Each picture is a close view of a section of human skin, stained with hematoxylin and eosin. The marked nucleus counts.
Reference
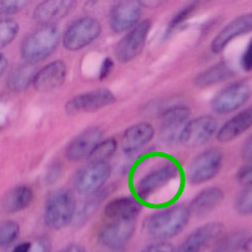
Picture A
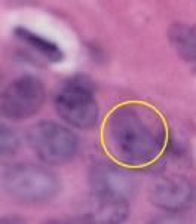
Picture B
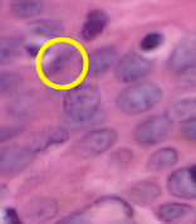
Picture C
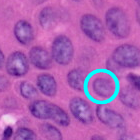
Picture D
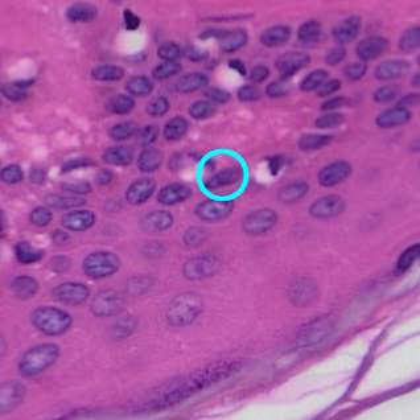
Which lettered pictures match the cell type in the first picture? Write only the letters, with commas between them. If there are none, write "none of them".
A, B, D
